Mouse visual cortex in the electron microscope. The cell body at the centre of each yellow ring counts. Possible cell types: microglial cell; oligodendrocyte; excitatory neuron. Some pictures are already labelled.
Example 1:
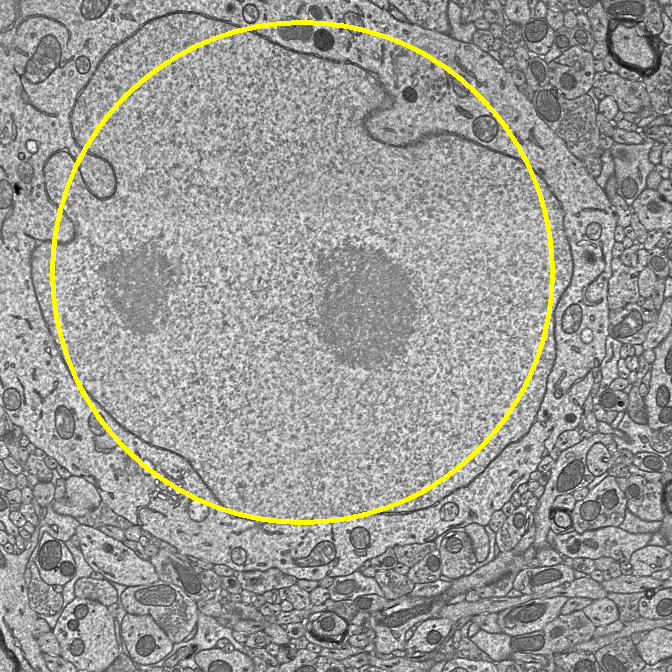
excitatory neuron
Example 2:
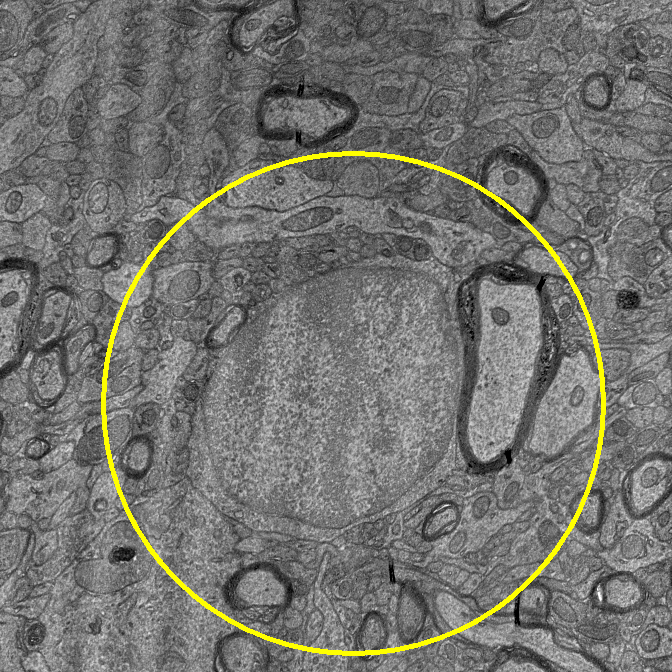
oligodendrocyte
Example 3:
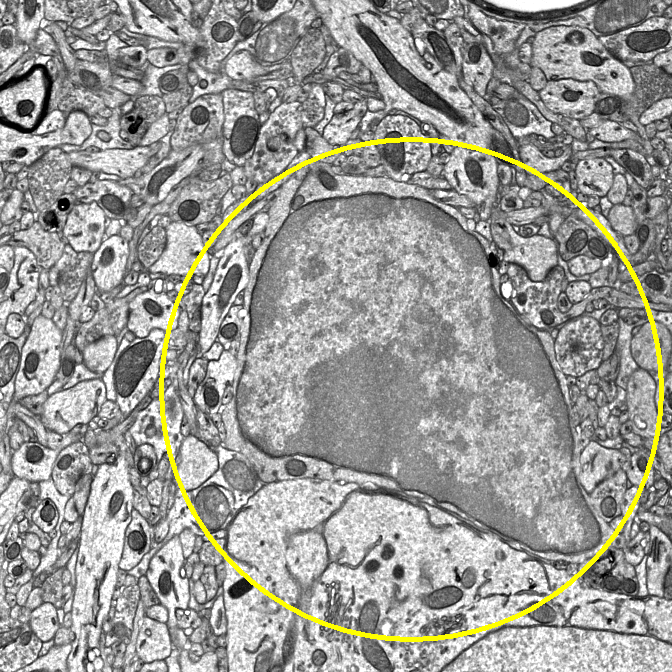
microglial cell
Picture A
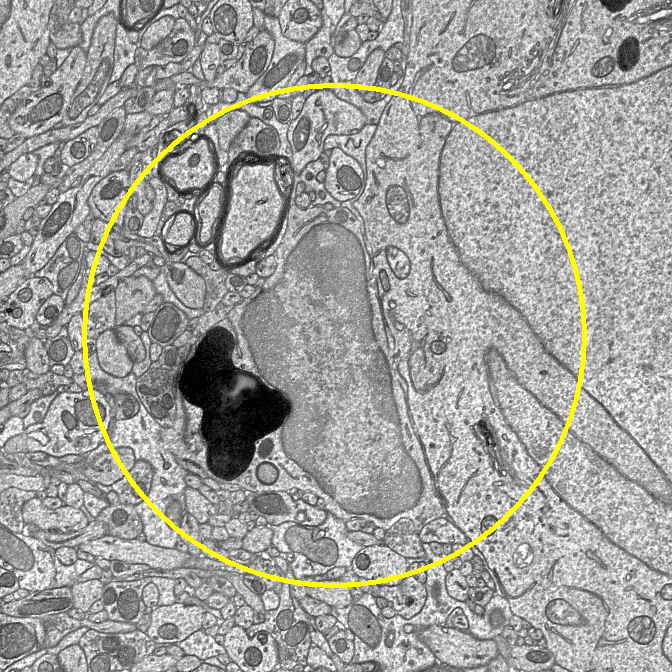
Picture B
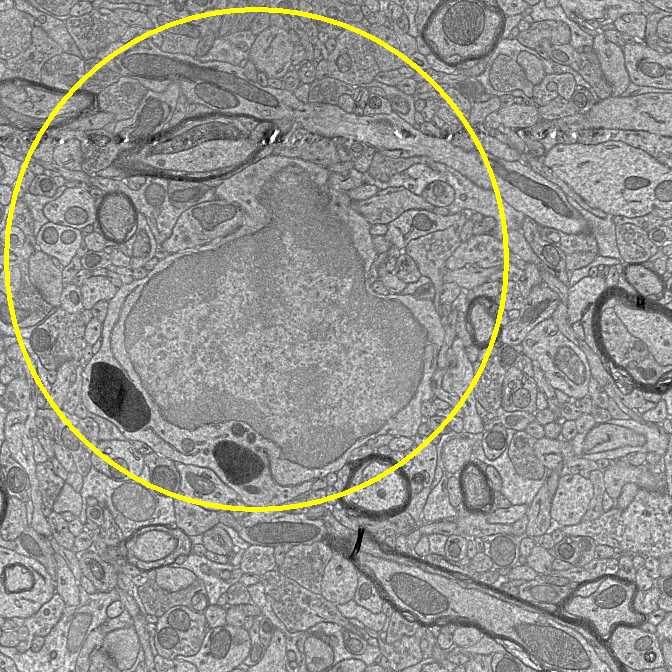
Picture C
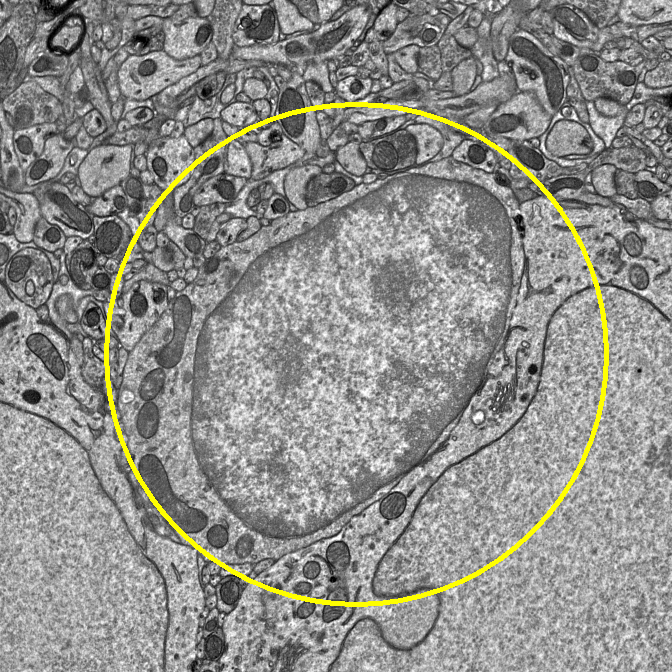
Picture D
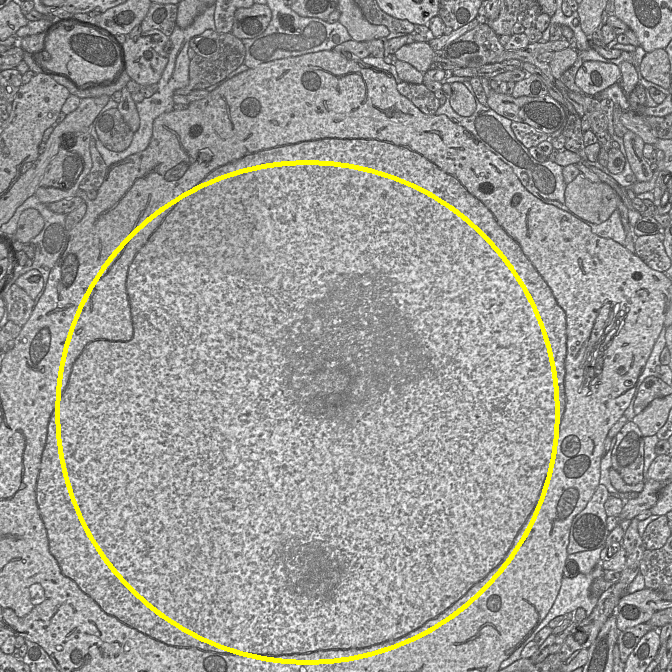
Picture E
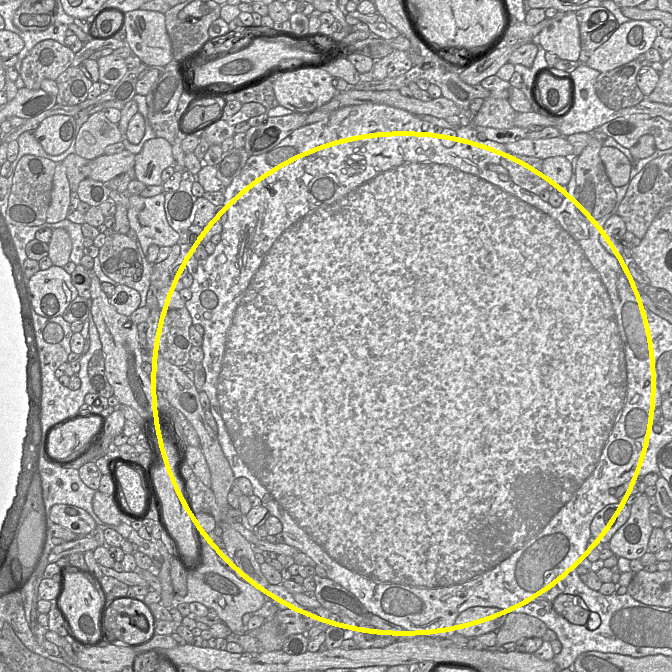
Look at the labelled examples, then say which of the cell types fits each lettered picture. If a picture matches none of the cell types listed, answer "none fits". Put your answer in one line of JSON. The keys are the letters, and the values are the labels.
{"A": "microglial cell", "B": "microglial cell", "C": "oligodendrocyte", "D": "excitatory neuron", "E": "none fits"}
